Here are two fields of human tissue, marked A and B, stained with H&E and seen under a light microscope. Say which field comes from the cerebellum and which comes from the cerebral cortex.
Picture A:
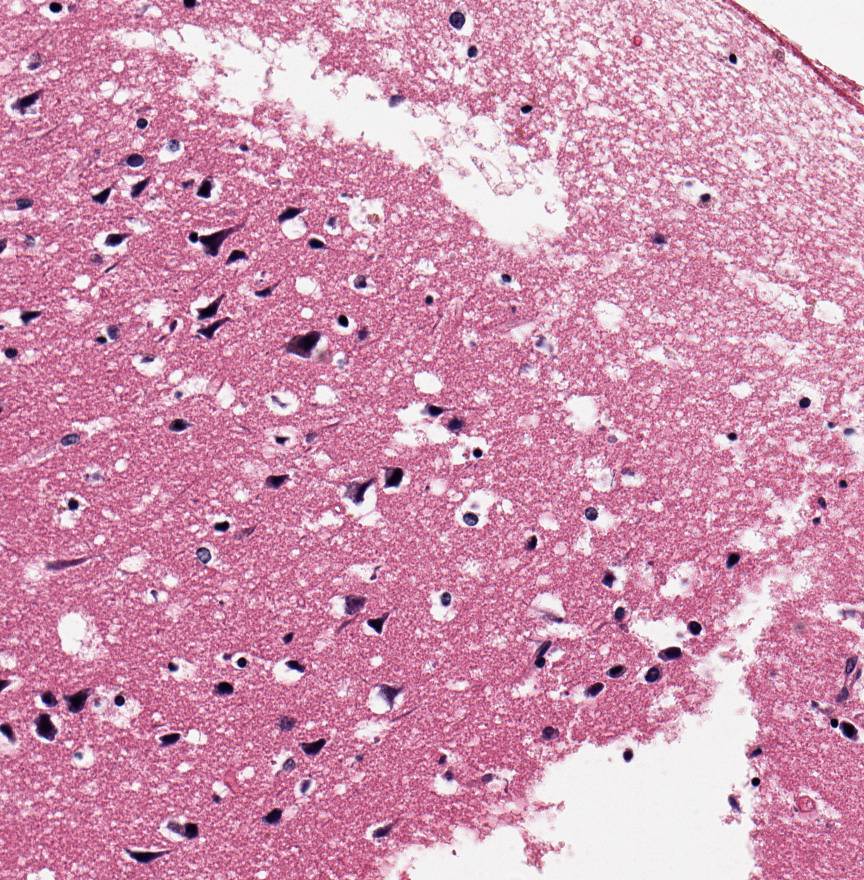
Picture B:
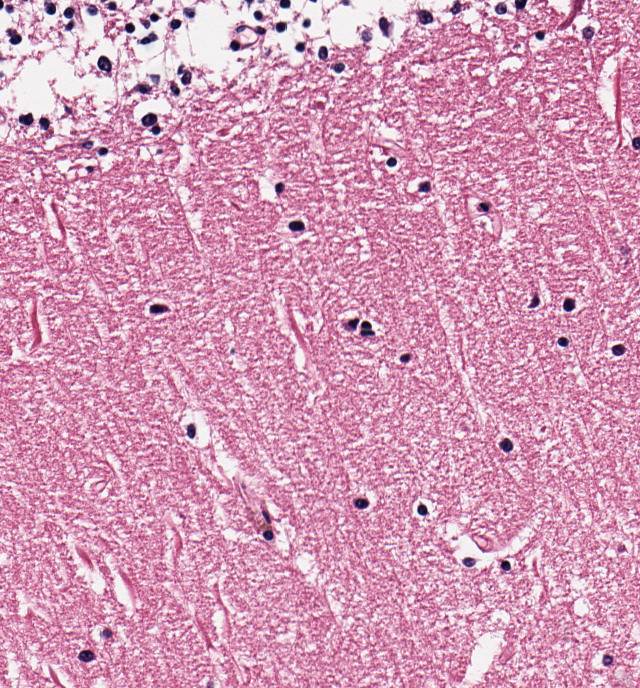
A: cerebral cortex
B: cerebellum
